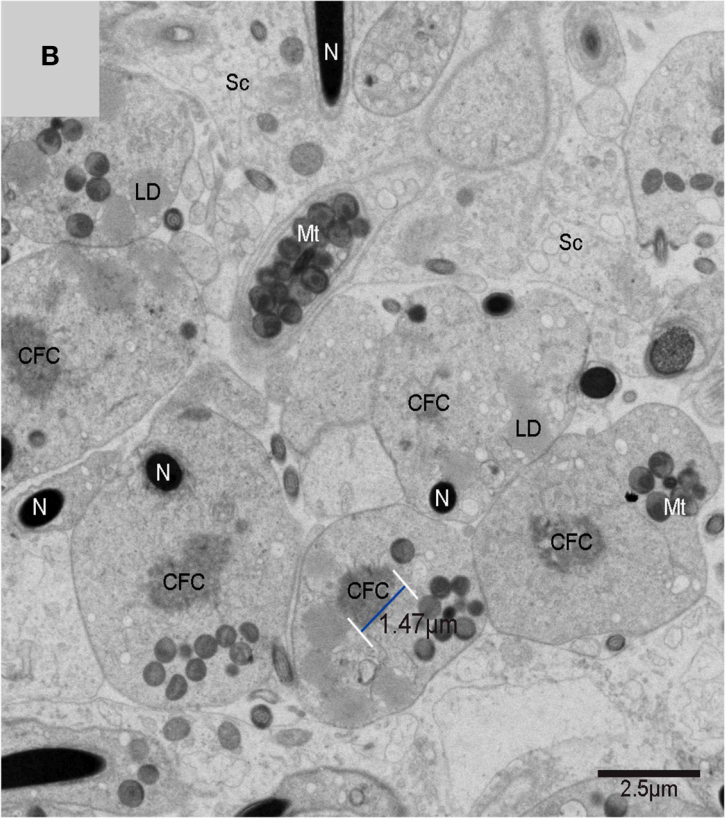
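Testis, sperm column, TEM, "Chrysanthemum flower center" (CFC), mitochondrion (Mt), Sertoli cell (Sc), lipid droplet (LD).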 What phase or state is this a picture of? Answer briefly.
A: compact nucleus stage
